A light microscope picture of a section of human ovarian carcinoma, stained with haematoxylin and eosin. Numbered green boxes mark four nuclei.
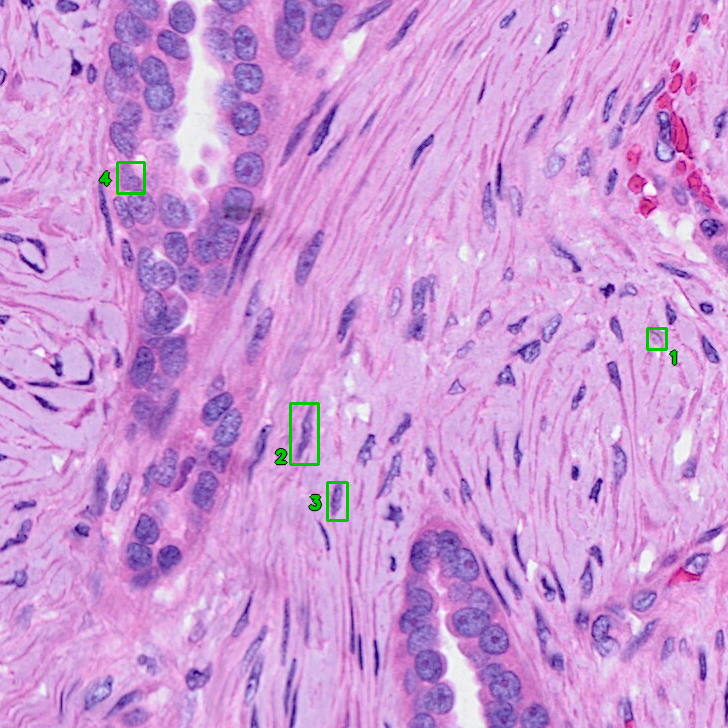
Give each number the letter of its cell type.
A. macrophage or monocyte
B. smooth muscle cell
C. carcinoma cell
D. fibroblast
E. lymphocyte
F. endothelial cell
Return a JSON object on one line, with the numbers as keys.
{"1": "D", "2": "D", "3": "D", "4": "C"}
